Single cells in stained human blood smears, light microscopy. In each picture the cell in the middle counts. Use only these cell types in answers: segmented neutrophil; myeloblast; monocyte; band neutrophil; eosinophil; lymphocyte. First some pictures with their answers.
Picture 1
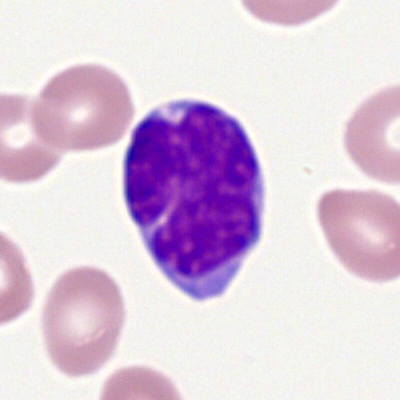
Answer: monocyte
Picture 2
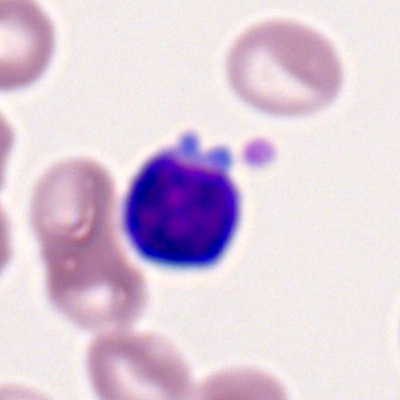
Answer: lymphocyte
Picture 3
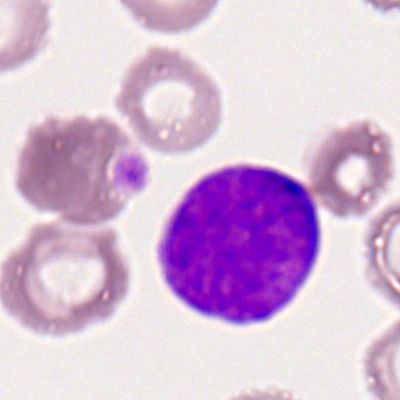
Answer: myeloblast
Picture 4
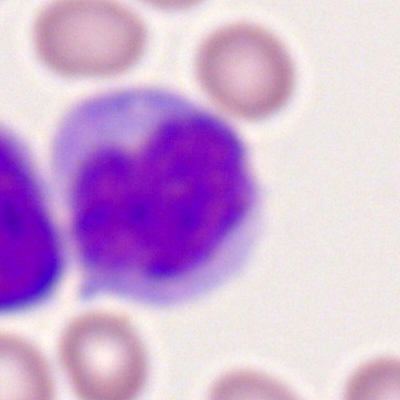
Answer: monocyte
